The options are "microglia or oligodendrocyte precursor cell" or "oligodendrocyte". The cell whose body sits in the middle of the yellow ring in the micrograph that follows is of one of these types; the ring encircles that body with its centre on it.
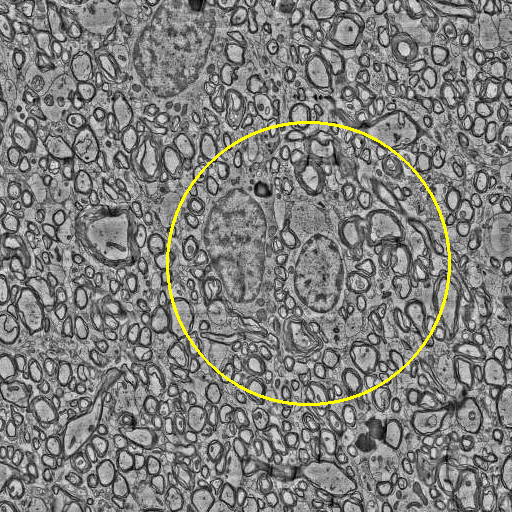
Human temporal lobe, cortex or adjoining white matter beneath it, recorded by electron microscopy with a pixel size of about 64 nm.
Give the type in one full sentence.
Going by the micrograph, the cell centred in the yellow ring is a microglial cell or oligodendrocyte precursor cell.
